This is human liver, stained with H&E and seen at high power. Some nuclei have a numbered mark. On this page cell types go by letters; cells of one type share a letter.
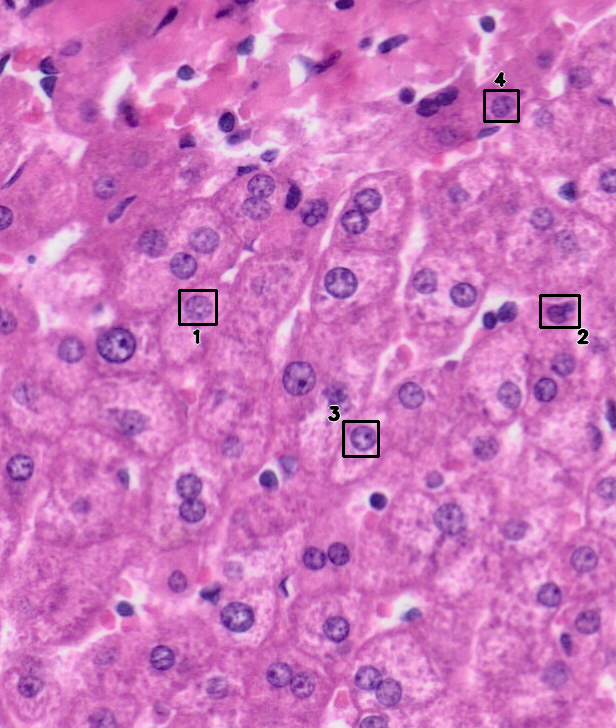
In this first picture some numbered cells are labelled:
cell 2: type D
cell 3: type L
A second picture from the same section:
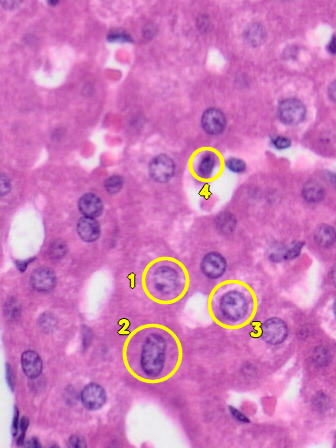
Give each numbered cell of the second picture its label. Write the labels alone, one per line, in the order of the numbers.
type L
type L
type L
type D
